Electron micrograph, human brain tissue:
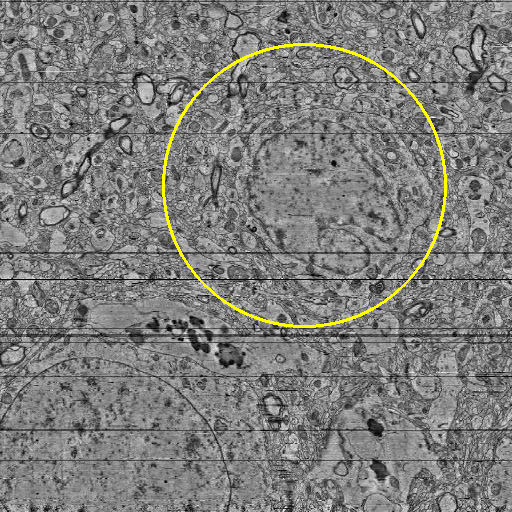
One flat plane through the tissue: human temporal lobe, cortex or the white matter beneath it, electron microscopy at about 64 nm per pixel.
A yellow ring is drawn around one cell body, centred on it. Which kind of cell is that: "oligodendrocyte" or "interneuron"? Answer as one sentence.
It is an interneuron at the centre of the ring.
